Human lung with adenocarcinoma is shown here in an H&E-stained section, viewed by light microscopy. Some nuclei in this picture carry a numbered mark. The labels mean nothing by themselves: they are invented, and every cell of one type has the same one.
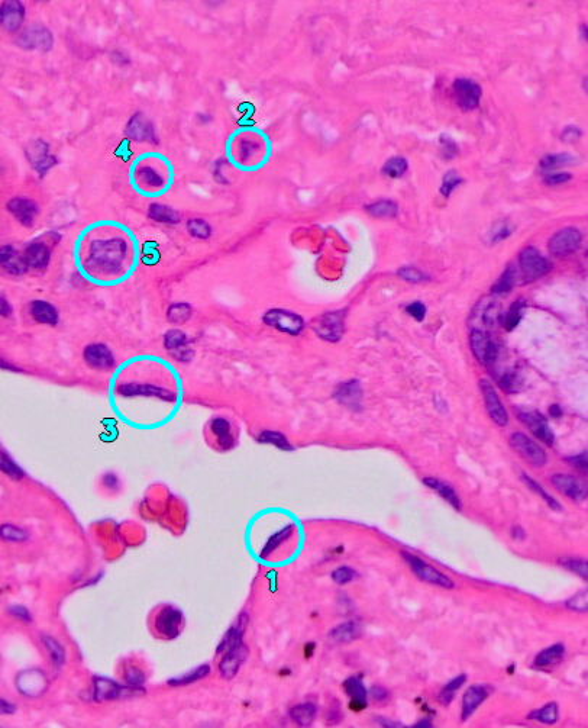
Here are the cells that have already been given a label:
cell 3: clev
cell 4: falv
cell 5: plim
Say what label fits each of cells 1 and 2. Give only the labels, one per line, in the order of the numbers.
clev
falv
